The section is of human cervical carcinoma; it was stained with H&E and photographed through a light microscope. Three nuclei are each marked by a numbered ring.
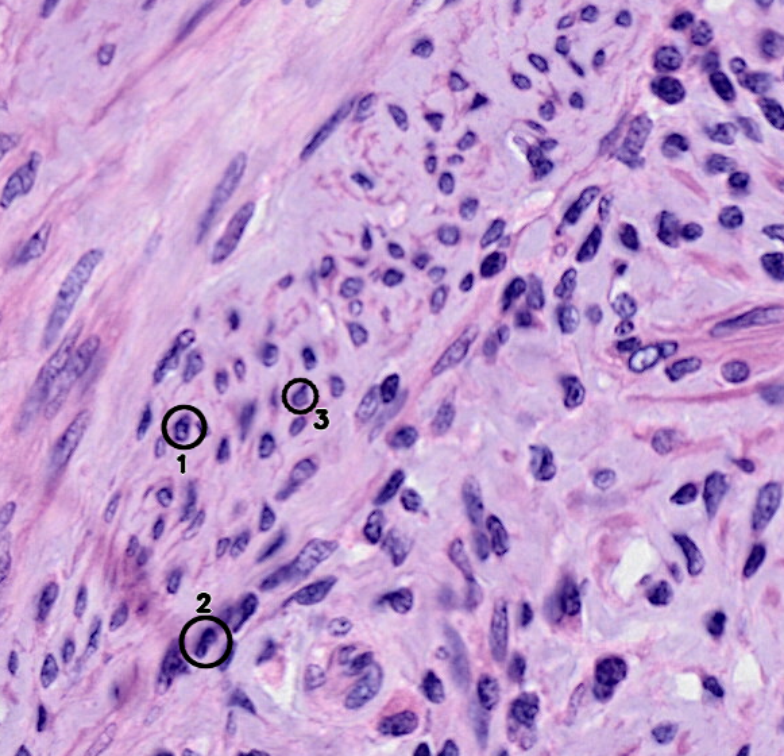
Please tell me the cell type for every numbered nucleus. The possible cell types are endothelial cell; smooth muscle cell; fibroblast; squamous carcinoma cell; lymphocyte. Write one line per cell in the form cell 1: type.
cell 1: smooth muscle cell
cell 2: lymphocyte
cell 3: smooth muscle cell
